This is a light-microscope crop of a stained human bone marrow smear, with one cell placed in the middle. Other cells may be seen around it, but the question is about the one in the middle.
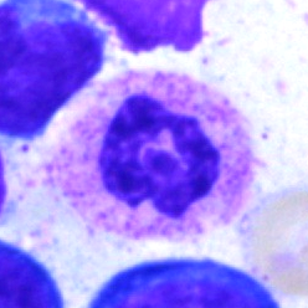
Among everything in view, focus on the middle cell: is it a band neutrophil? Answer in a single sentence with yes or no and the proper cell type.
No, it isn't a band neutrophil; what sits in the middle is a segmented neutrophil.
